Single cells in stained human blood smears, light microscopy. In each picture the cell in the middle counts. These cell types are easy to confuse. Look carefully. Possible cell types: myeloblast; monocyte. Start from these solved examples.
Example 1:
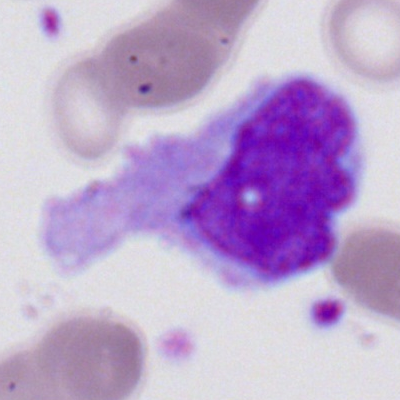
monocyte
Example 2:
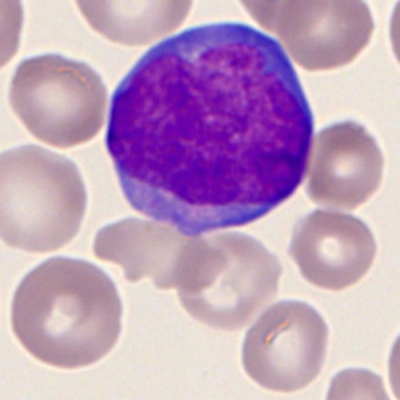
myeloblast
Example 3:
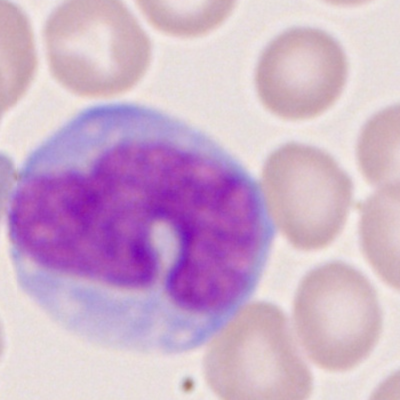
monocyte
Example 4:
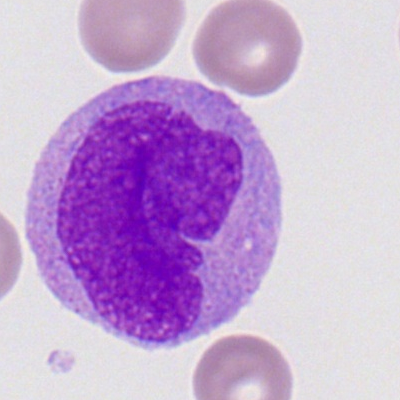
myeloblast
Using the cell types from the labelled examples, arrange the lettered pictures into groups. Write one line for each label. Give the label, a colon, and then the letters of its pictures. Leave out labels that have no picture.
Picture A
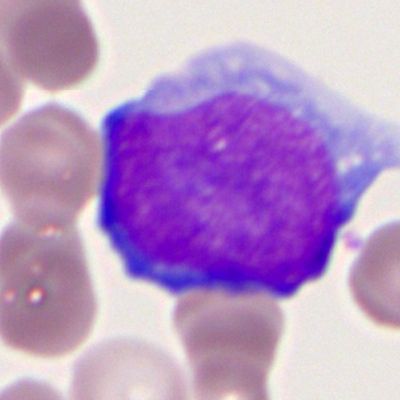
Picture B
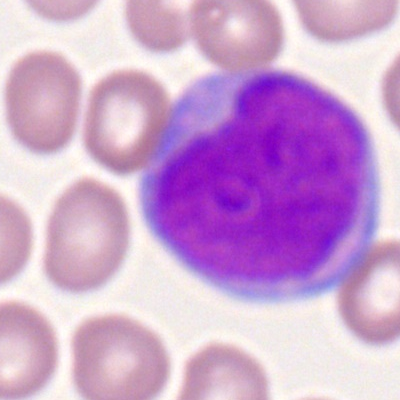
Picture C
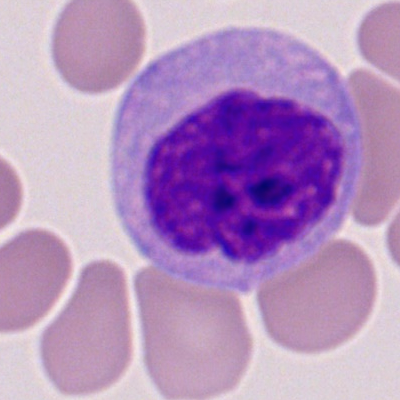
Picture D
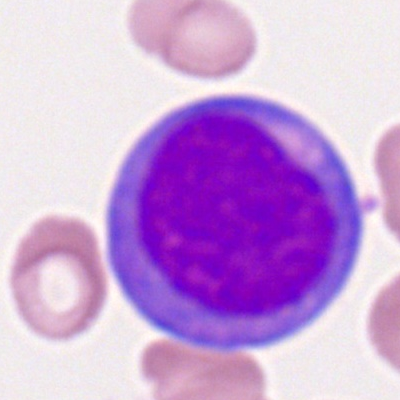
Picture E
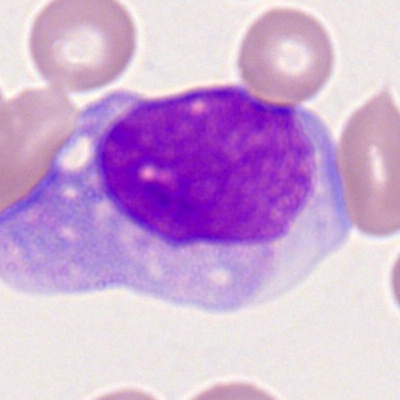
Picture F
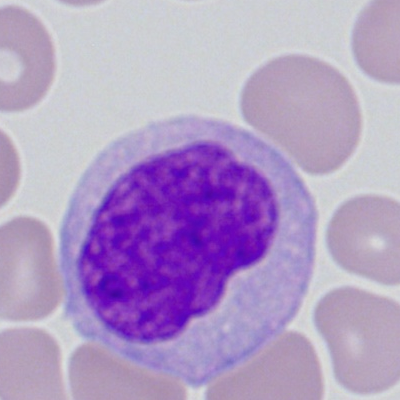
myeloblast: A, B, D
monocyte: C, E, F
